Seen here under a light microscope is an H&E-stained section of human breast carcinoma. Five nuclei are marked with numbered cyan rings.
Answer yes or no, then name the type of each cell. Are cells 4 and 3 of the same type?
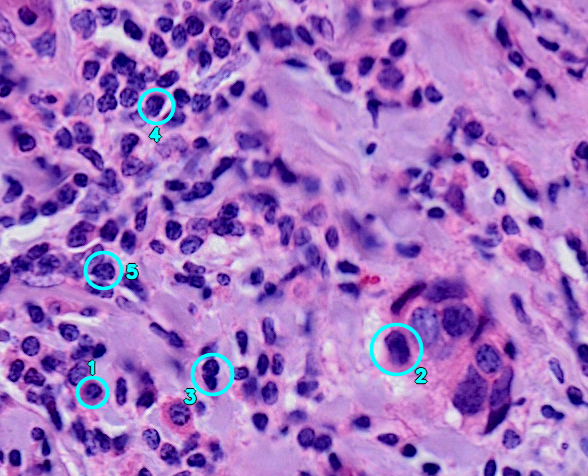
Yes, cell 4 and likewise cell 3 are lymphocytes.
